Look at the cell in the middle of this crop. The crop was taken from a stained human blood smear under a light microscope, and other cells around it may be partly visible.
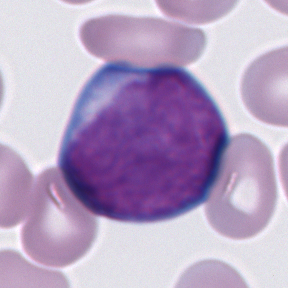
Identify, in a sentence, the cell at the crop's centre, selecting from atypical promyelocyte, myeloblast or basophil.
In the central position of this crop, the cell is a myeloblast.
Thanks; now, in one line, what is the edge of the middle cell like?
Its periphery is smooth, and no projections arise from it.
